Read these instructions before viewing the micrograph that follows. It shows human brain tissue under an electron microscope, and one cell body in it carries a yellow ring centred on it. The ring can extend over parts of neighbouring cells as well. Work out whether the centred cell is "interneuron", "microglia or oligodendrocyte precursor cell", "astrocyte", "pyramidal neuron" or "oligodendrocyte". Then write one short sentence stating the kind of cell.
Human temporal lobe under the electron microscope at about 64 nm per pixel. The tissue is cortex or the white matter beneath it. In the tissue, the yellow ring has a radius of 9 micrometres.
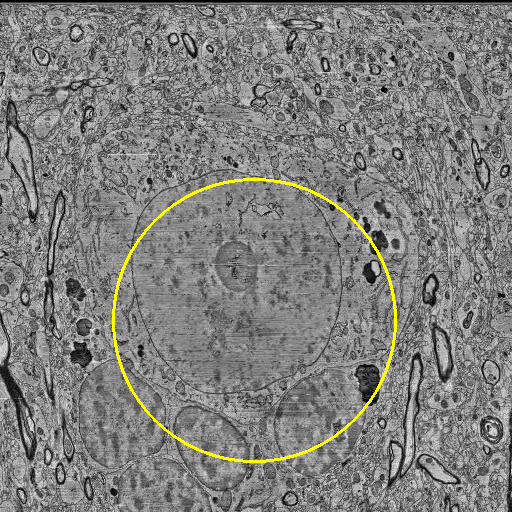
The ringed cell is a pyramidal neuron.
